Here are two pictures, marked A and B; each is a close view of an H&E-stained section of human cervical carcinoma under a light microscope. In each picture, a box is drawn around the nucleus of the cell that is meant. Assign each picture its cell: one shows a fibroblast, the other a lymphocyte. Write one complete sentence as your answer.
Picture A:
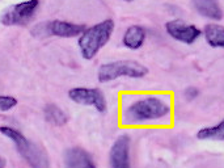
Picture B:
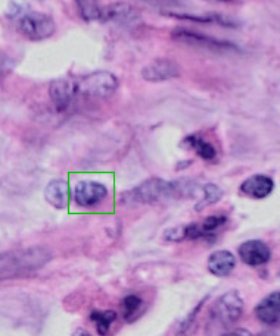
In picture A the cell is a fibroblast; in picture B, a lymphocyte.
